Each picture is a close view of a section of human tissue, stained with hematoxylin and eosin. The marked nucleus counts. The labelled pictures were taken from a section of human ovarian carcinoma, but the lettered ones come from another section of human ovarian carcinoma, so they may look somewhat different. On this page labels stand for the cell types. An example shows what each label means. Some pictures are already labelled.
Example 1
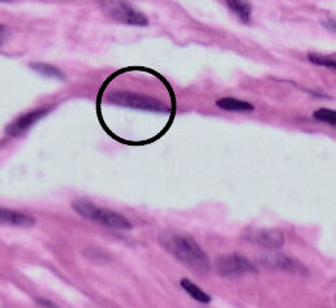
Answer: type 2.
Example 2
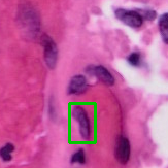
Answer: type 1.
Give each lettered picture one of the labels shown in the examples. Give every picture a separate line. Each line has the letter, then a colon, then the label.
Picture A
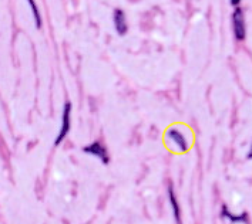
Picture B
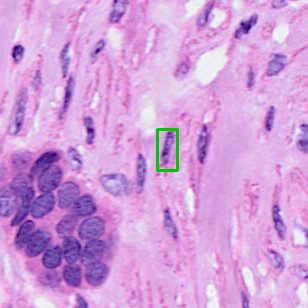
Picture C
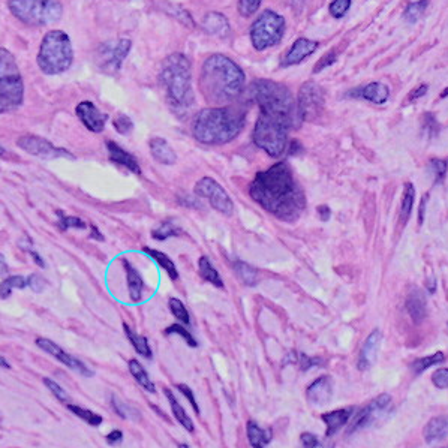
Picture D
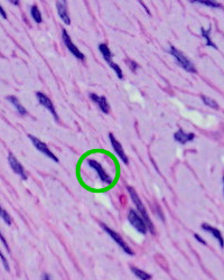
A: type 2.
B: type 2.
C: type 2.
D: type 2.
